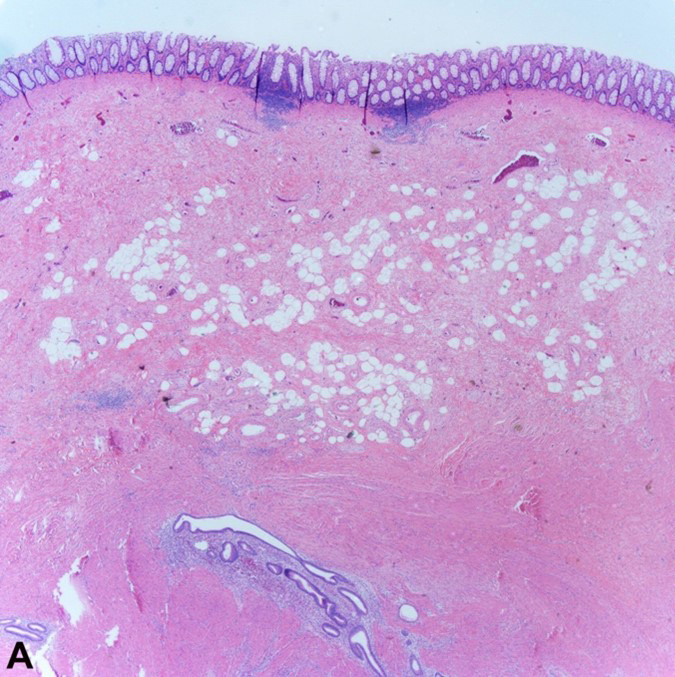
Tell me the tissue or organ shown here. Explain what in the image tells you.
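Colonic mucosa. Surface layer of straight, parallel tubular crypts with pale goblet-rich epithelium. Thick pink muscle and fat-containing layer below the mucosa.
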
